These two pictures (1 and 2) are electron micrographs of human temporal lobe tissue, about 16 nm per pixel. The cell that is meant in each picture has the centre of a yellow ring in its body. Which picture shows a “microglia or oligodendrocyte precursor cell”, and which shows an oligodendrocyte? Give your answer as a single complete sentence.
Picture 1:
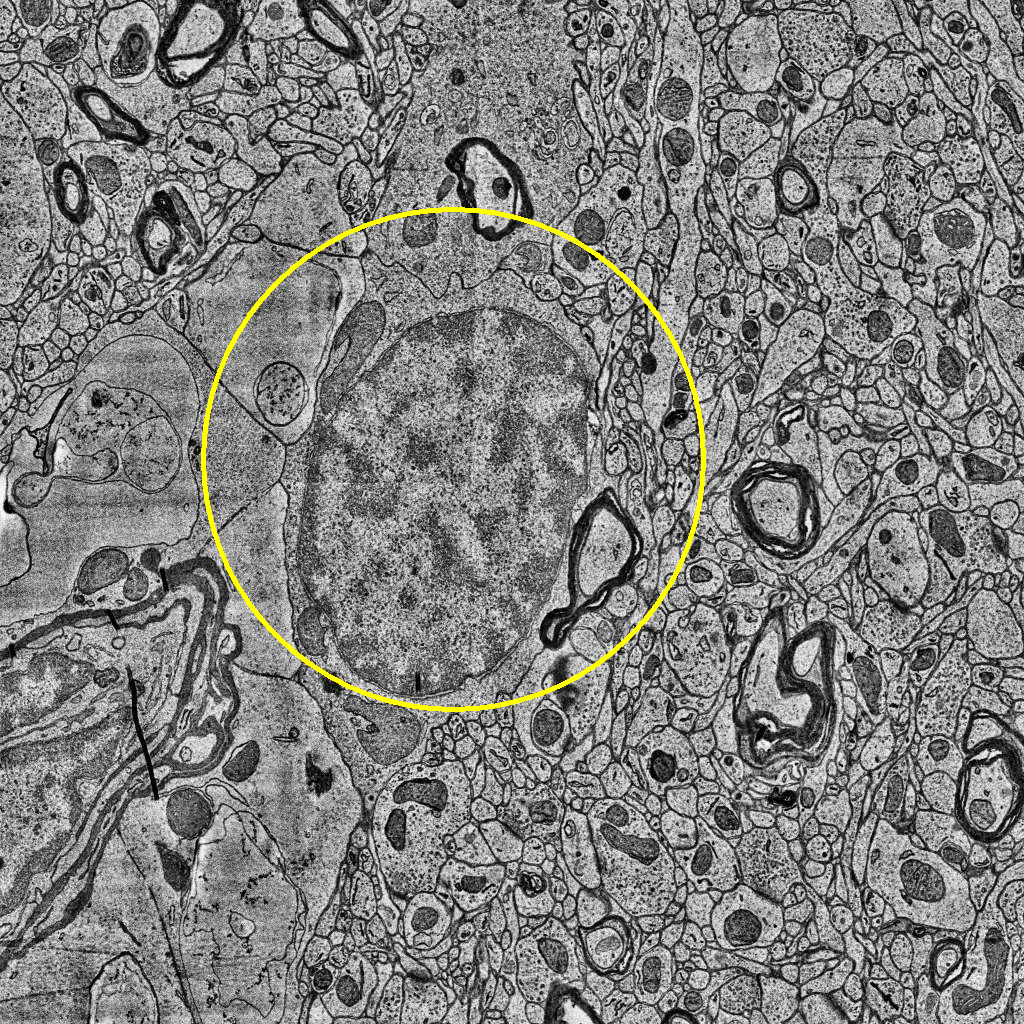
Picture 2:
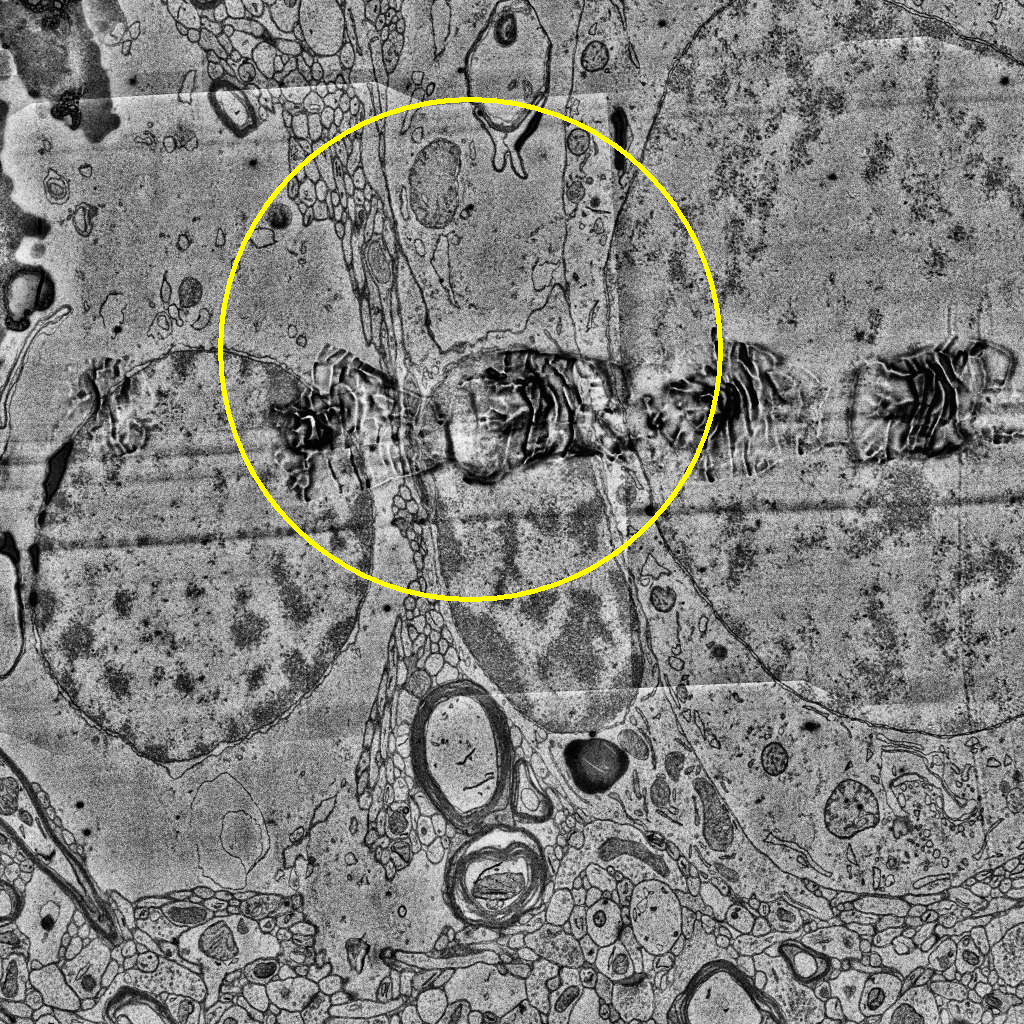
Picture 1 is of an oligodendrocyte, and picture 2 is of a “microglia or oligodendrocyte precursor cell”.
